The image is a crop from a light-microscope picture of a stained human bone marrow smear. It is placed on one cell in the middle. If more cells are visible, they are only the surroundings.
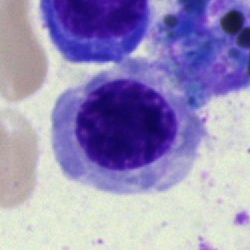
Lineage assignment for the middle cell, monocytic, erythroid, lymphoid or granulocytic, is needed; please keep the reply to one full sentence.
The central cell derives from the erythroid lineage.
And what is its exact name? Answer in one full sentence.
The identification for the central cell is an erythroblast.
